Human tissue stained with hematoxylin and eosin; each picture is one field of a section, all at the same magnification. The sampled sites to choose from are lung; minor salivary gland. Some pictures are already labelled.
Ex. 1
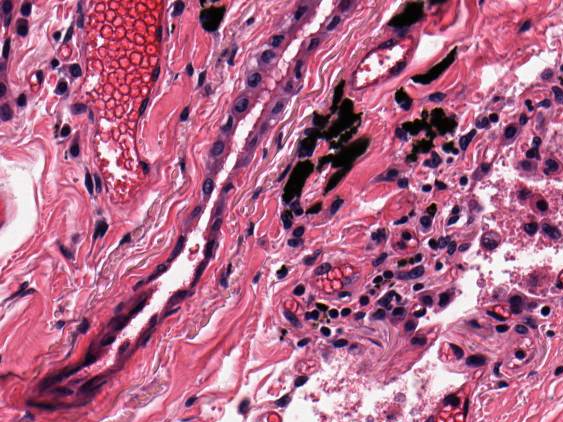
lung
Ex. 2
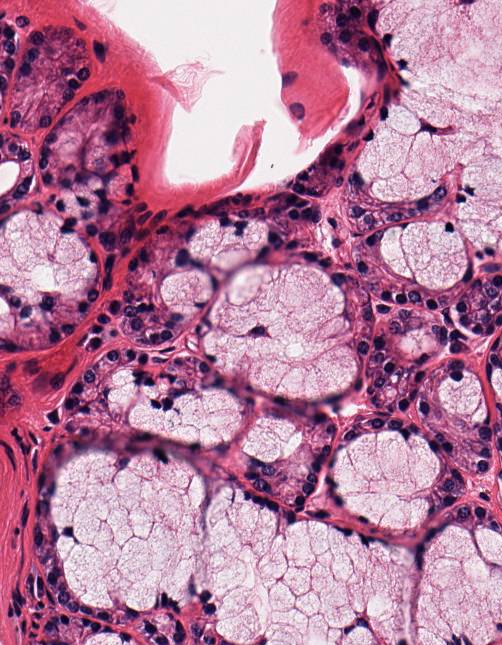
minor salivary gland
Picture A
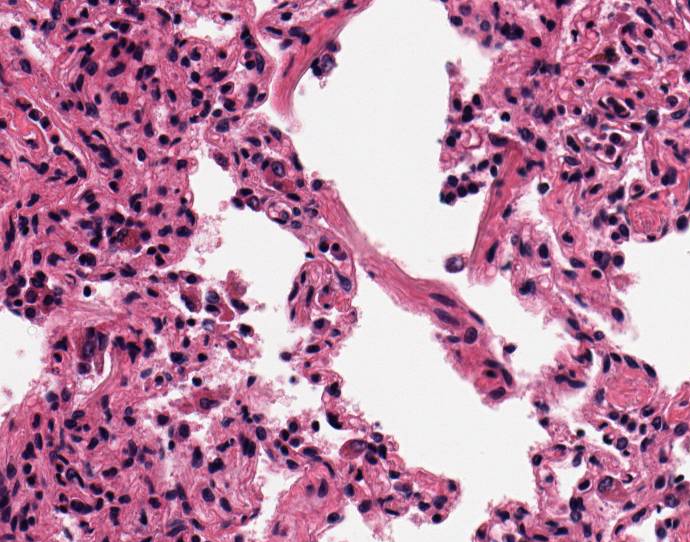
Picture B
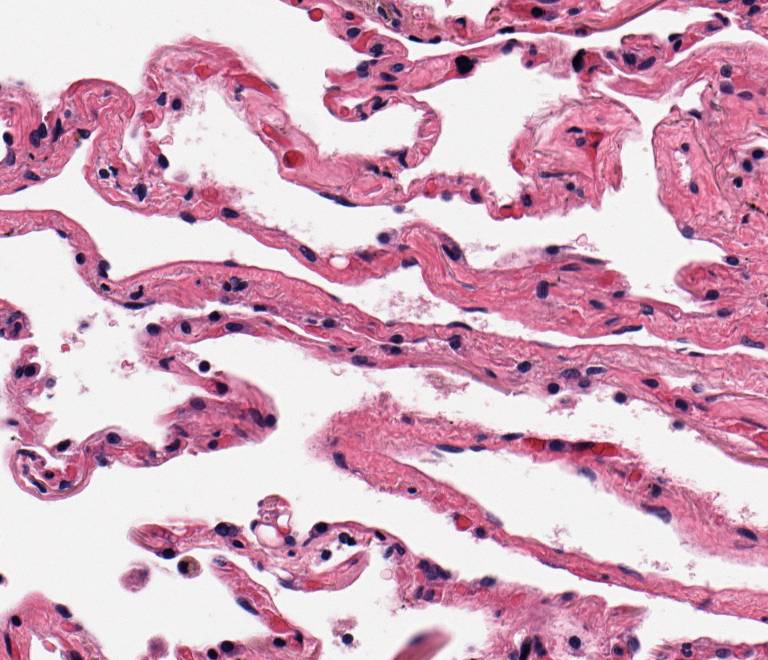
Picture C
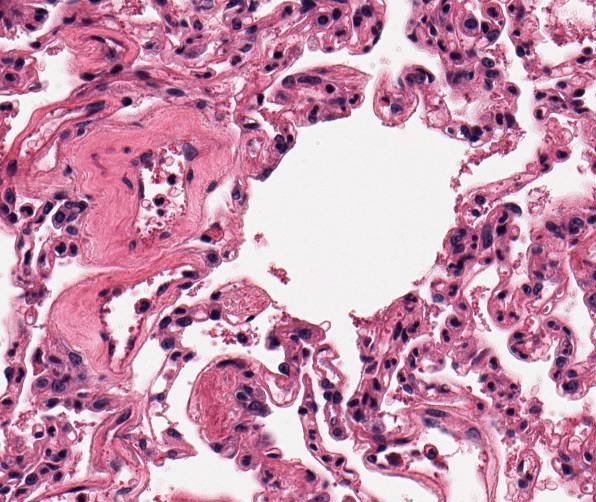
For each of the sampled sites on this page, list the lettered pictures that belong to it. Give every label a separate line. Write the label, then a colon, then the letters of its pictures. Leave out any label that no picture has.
lung: A, B, C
